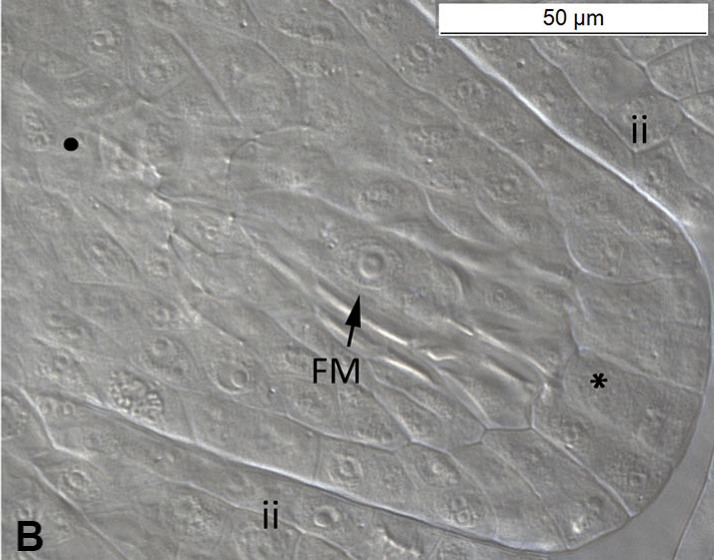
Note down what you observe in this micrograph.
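This is a young ovule with an elongated central file of germline cells enclosed by layers of small integument and nucellus cells. One large cell in the file holds a big round nucleus with a distinct nucleolus. Beside it, the other cells of the file have collapsed into thin, bright, streak-like remnants.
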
